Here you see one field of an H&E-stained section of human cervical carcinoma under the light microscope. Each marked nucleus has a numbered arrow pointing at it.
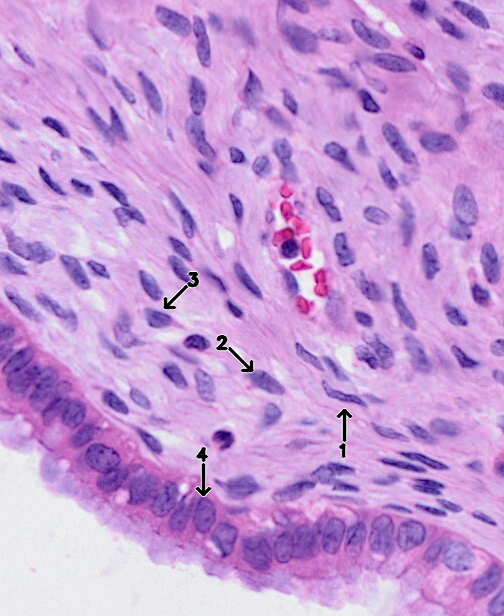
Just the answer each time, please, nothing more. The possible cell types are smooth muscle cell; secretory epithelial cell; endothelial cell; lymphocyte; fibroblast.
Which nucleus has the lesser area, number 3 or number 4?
3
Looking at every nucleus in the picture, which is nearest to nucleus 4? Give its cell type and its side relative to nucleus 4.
a secretory epithelial cell, to the left of nucleus 4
